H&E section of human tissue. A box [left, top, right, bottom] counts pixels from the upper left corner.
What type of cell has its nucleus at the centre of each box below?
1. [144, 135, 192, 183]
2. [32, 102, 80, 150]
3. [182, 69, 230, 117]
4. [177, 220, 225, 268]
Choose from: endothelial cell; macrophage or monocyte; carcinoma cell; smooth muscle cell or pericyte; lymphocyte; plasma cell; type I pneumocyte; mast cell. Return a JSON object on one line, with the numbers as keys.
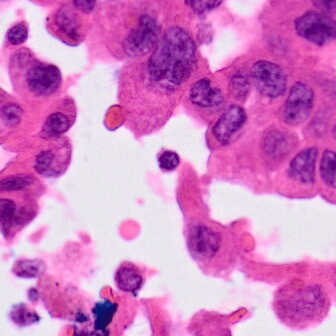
{"1": "lymphocyte", "2": "carcinoma cell", "3": "carcinoma cell", "4": "carcinoma cell"}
